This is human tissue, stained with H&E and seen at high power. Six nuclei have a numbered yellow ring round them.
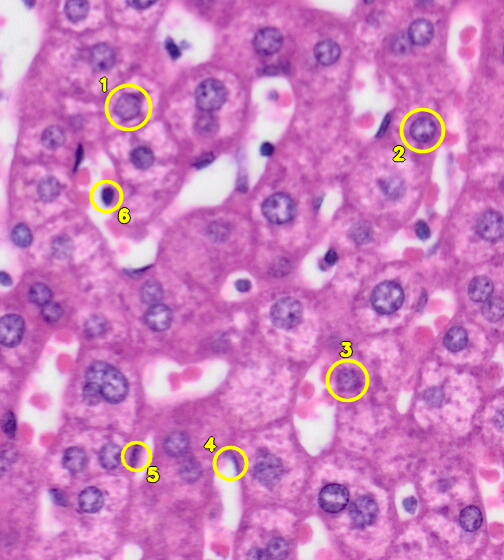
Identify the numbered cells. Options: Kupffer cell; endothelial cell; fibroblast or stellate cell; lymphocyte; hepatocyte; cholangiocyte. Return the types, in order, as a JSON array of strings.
["hepatocyte", "hepatocyte", "hepatocyte", "endothelial cell", "Kupffer cell", "lymphocyte"]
